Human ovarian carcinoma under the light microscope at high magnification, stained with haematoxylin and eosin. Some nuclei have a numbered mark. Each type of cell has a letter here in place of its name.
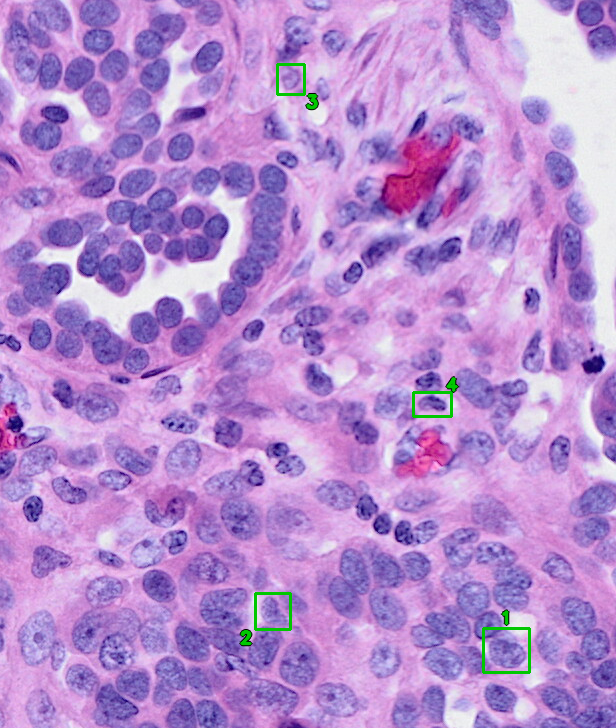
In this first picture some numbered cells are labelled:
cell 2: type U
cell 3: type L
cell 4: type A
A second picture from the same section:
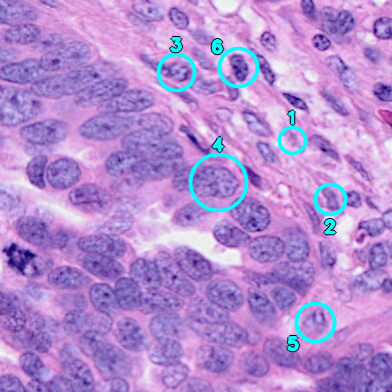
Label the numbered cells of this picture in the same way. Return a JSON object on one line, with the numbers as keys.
{"1": "type L", "2": "type L", "3": "type L", "4": "type U", "5": "type L", "6": "type A"}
